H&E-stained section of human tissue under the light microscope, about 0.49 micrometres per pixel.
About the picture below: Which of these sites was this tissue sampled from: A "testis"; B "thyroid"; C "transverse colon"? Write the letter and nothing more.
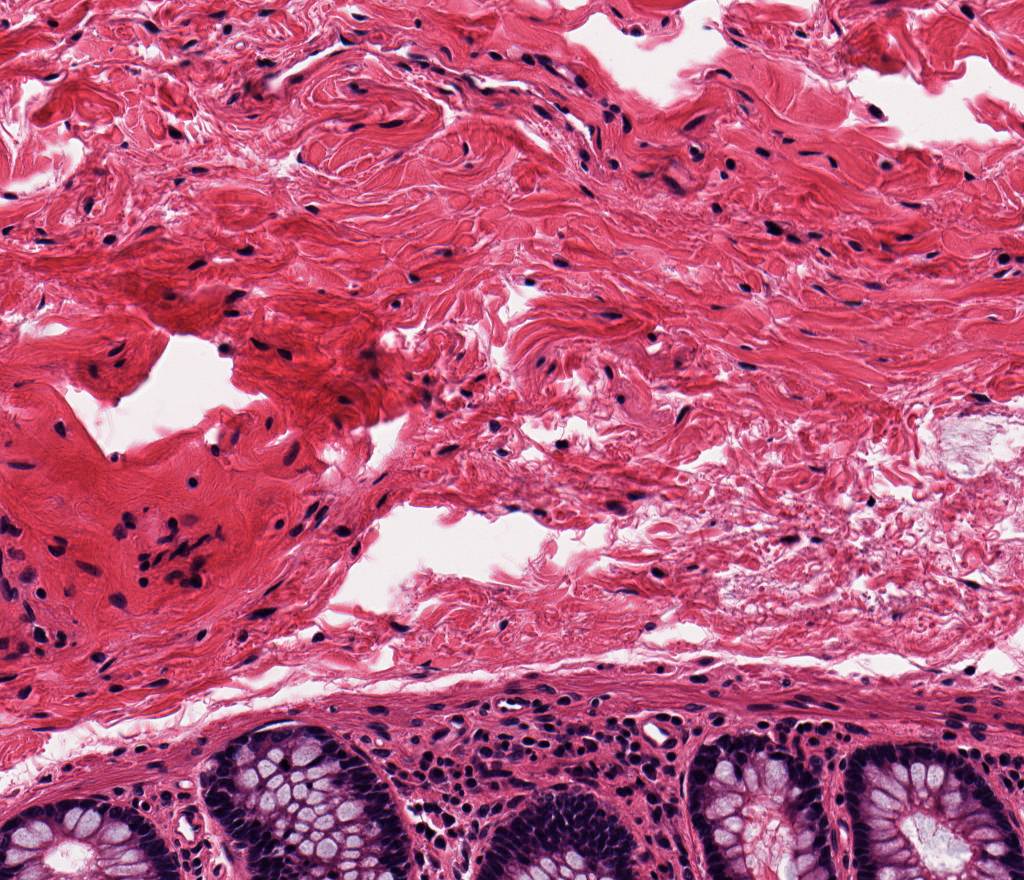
C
